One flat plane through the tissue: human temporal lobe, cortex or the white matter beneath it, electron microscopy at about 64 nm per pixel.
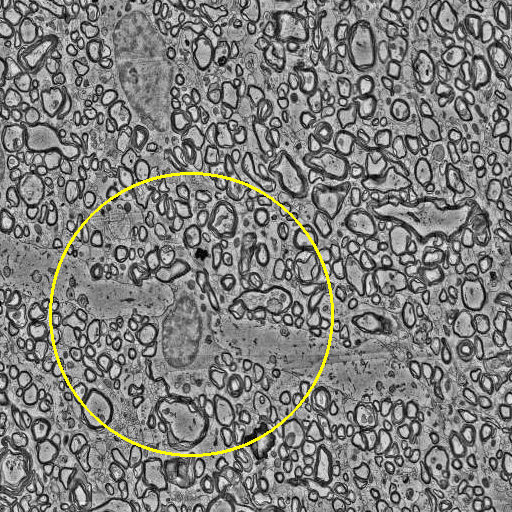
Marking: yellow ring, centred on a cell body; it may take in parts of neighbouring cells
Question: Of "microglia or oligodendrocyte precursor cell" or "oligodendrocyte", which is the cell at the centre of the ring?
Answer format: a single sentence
The ring surrounds the body of an oligodendrocyte.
